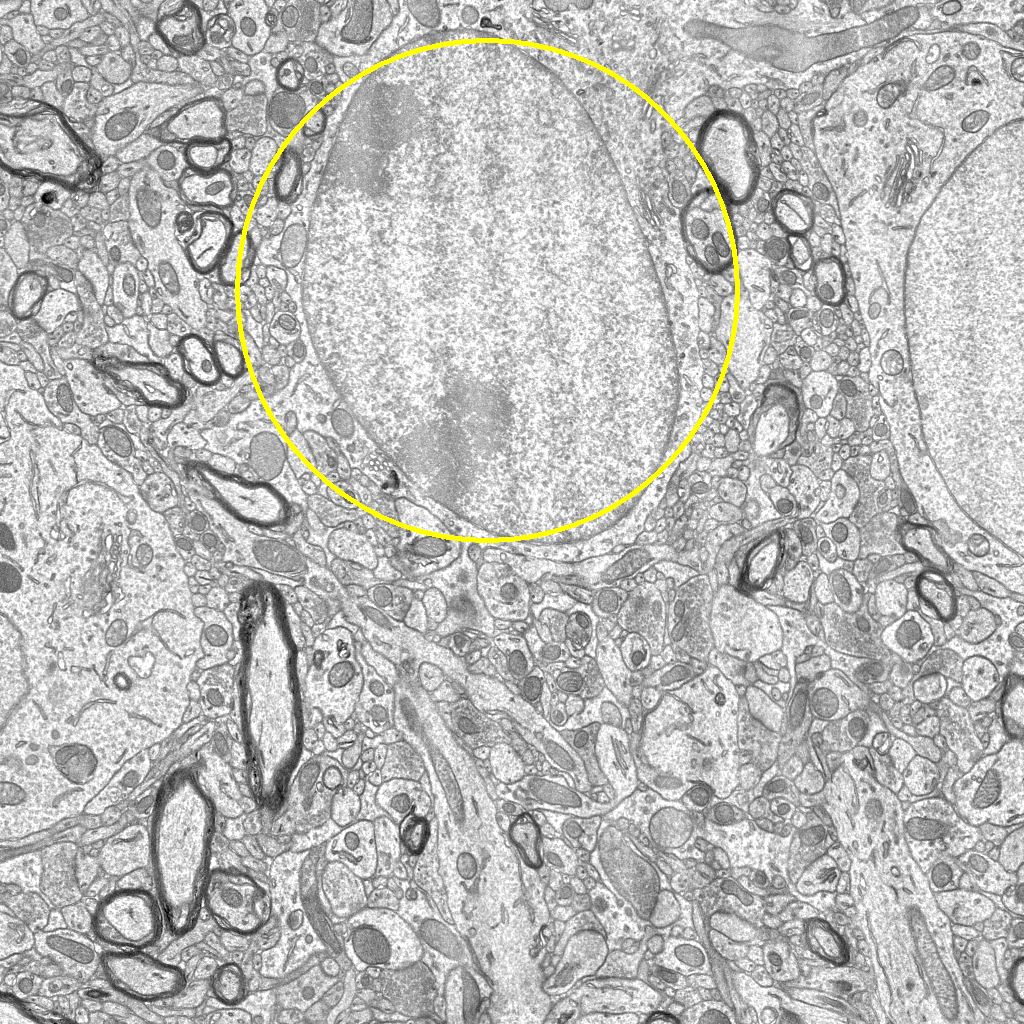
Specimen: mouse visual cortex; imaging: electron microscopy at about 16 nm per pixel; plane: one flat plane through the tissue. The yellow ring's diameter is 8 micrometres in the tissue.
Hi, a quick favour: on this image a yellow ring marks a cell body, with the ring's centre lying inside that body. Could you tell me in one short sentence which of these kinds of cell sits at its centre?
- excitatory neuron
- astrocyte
The ring's centre lies in an astrocyte.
